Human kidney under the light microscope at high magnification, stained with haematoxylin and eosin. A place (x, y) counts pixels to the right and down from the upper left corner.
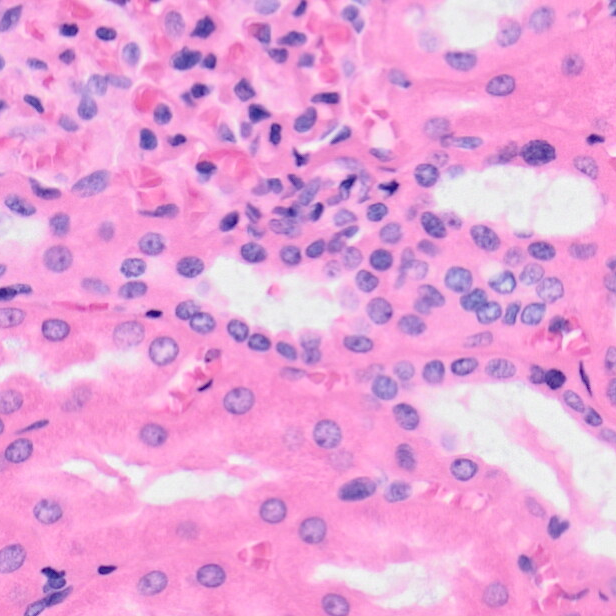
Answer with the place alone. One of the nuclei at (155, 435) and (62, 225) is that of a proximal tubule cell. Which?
(155, 435)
